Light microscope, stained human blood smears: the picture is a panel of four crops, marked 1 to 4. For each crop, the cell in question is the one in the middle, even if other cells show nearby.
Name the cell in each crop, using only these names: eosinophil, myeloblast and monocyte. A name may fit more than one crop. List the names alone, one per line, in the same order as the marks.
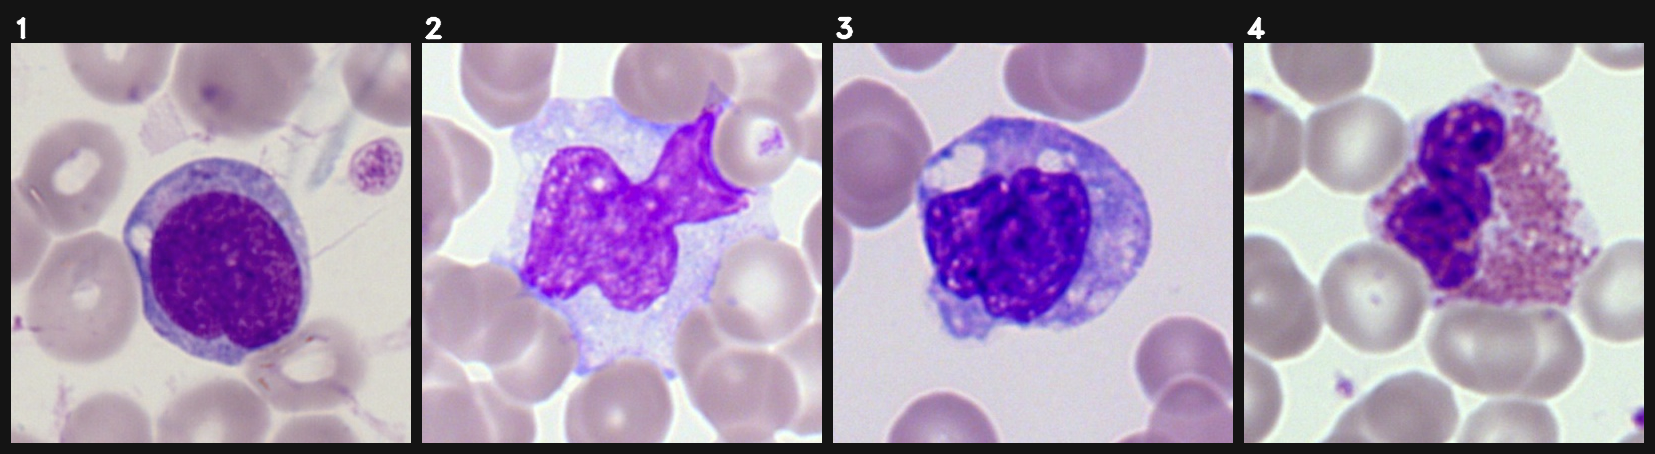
myeloblast
monocyte
monocyte
eosinophil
